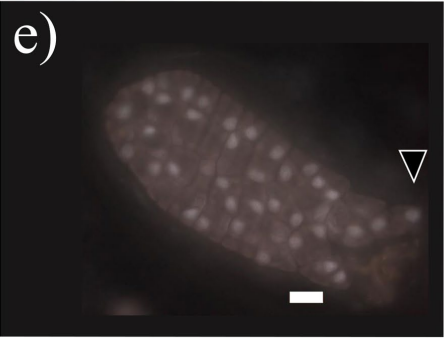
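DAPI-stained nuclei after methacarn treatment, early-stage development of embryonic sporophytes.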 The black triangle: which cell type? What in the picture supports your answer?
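The triangle points to the narrowed end of an elongated multicellular body. That points to this answer: rhizoidal cells.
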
